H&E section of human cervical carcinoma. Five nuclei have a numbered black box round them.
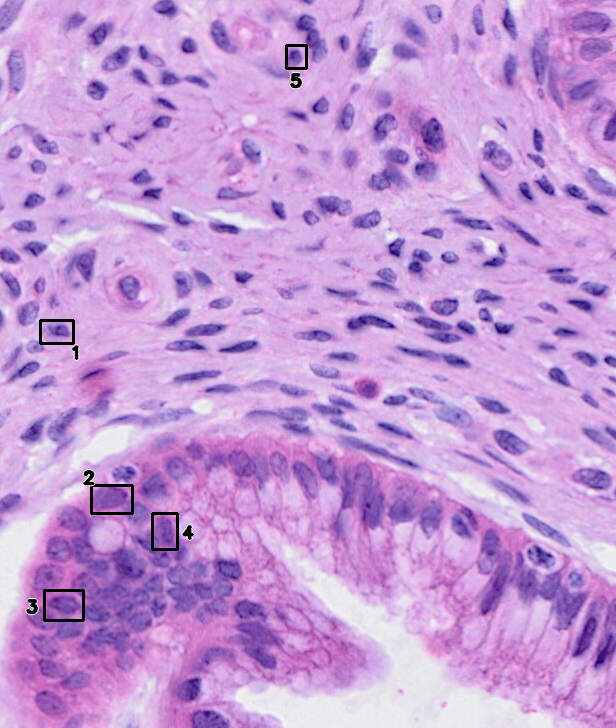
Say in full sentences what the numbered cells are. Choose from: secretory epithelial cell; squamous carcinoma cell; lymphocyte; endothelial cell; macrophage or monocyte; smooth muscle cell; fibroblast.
Cell 1 is a fibroblast, cell 2 is a secretory epithelial cell, cell 3 is a secretory epithelial cell, cell 4 is a secretory epithelial cell and cell 5 is a fibroblast.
